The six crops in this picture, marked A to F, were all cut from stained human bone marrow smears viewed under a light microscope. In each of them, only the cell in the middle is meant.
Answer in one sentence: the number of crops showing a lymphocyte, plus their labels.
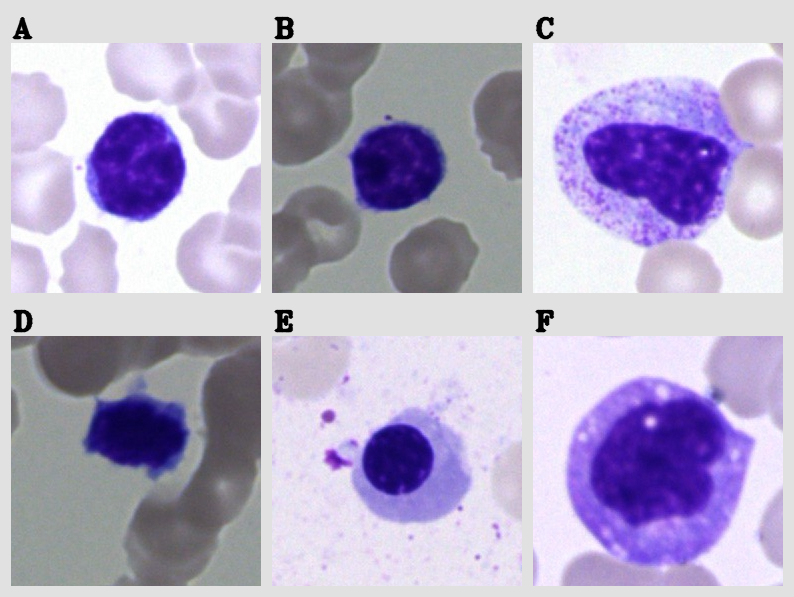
Summing up, there are three crops with lymphocytes: A, B and D.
